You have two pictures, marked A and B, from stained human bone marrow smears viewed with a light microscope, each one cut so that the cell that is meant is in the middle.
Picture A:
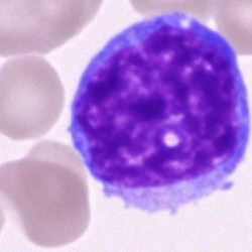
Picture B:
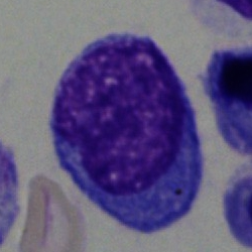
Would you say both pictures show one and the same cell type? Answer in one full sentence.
Yes, both are blasts.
